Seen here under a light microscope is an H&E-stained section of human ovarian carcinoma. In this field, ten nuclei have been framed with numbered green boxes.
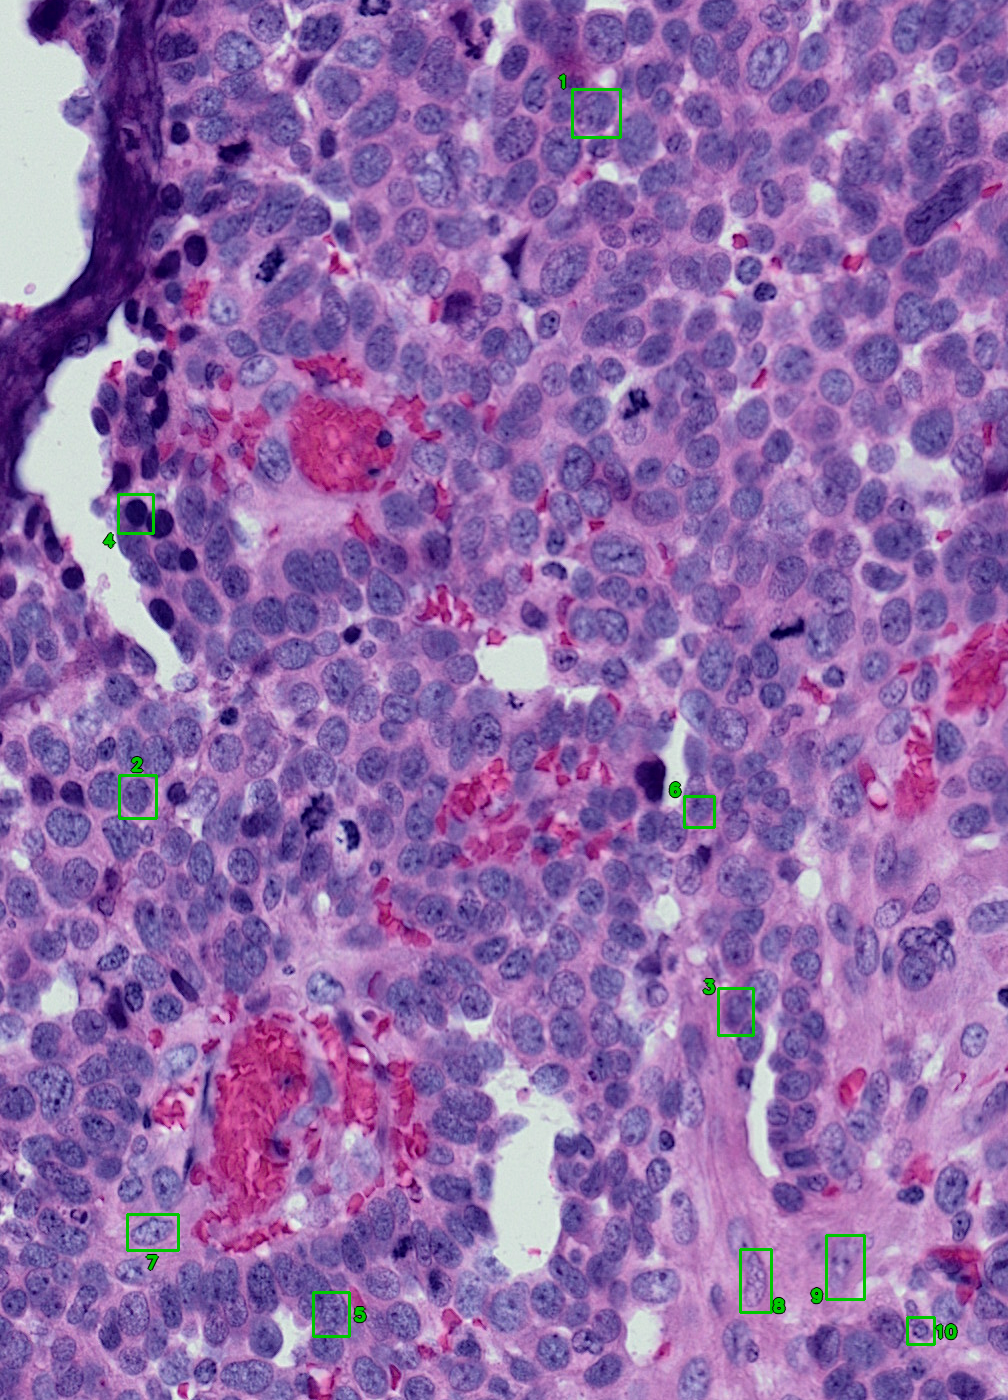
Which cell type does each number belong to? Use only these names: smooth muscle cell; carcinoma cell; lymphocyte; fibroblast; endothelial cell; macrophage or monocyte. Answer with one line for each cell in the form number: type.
1: carcinoma cell
2: carcinoma cell
3: carcinoma cell
4: carcinoma cell
5: carcinoma cell
6: carcinoma cell
7: fibroblast
8: fibroblast
9: fibroblast
10: macrophage or monocyte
